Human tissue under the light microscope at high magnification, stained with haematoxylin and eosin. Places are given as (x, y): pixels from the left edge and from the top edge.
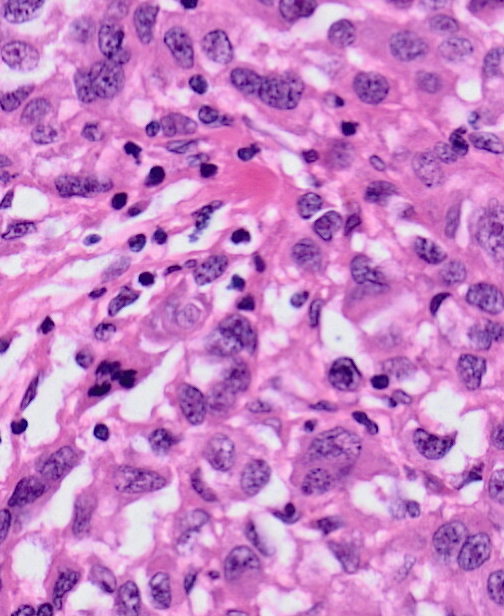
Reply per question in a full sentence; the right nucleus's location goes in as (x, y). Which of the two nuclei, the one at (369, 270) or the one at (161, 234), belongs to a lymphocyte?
It is the nucleus at (161, 234), not the other one, that belongs to a lymphocyte.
